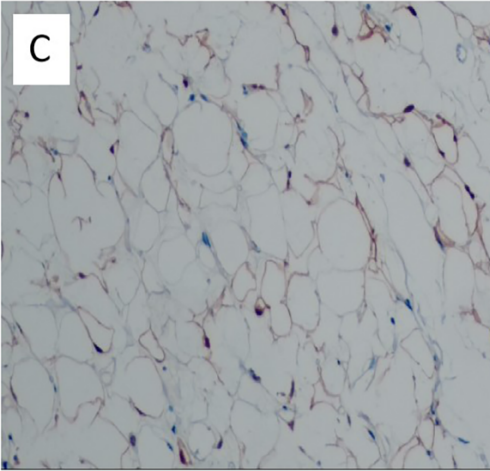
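The section shows adipocytes as large, empty-looking cells with thin membranes outlined in light brown. Small nuclei sit at the rims of the cells, some of them brown and some bluish.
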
